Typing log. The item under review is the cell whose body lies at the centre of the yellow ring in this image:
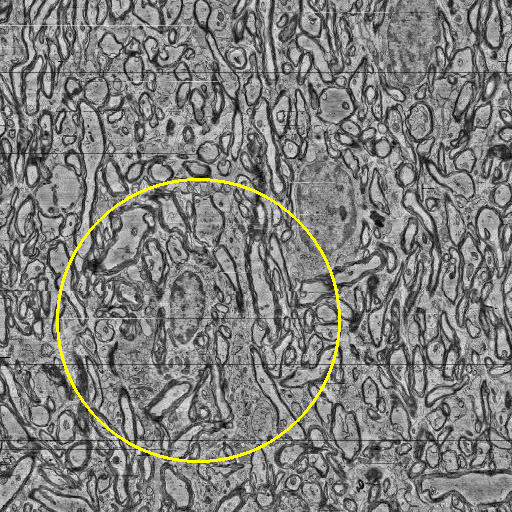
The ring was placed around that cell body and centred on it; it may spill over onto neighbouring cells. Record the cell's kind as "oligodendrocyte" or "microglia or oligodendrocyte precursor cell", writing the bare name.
microglia or oligodendrocyte precursor cell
